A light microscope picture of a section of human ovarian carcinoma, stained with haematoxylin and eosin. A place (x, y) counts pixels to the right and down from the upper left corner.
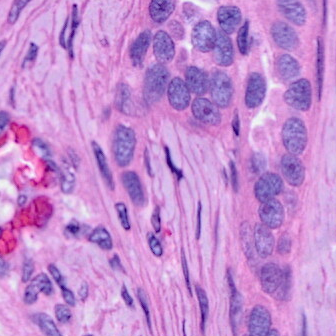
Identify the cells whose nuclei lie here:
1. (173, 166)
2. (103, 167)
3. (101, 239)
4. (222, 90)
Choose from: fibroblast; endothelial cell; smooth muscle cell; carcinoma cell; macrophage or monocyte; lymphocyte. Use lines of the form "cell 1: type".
cell 1: fibroblast
cell 2: fibroblast
cell 3: fibroblast
cell 4: carcinoma cell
